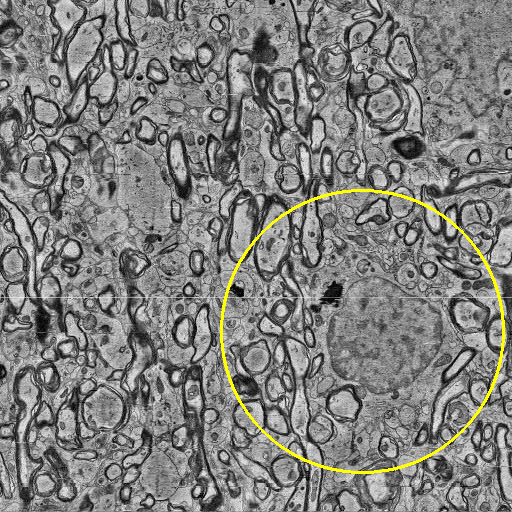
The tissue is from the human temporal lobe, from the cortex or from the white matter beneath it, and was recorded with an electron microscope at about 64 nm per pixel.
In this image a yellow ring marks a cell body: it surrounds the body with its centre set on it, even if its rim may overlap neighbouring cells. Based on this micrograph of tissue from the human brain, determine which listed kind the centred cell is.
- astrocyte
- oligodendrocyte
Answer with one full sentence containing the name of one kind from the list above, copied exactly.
It is an oligodendrocyte whose body the yellow ring encloses at its centre.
